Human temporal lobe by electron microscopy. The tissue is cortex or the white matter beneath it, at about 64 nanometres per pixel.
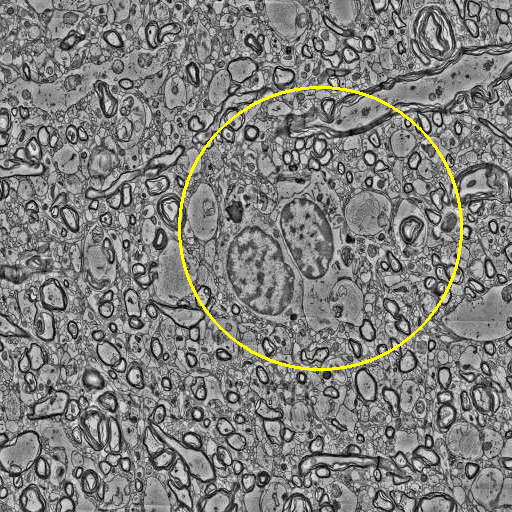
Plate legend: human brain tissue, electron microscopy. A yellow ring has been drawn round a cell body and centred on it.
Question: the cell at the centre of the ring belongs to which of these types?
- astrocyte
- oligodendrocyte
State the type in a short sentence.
The cell in the middle of the ring is an oligodendrocyte.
